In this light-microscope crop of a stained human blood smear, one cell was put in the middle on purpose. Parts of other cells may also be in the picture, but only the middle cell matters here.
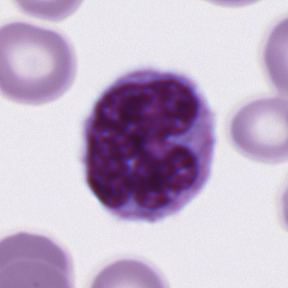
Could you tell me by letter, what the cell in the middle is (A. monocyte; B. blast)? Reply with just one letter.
A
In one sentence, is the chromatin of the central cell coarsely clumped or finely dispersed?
Here the nuclear chromatin is coarsely clumped.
